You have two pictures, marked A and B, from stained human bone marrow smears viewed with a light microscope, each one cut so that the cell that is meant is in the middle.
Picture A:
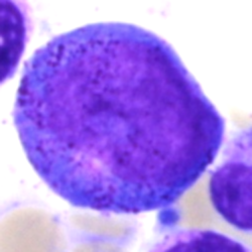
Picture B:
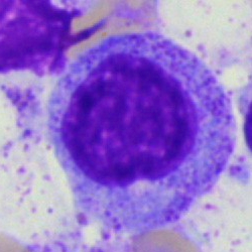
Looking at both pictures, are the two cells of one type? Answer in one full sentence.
Yes, both are promyelocytes.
